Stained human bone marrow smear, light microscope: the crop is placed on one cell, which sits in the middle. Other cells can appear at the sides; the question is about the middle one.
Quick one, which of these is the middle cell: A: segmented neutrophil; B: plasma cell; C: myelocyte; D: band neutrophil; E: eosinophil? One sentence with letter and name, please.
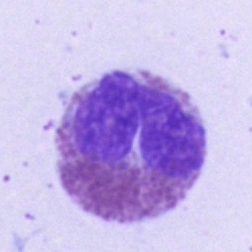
That the central cell is an eosinophil makes option E correct.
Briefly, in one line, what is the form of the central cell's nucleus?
One defining trait here is a nucleus of two or more segments.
